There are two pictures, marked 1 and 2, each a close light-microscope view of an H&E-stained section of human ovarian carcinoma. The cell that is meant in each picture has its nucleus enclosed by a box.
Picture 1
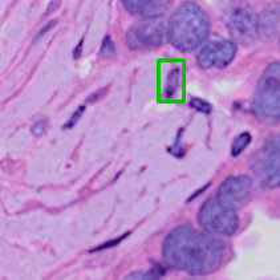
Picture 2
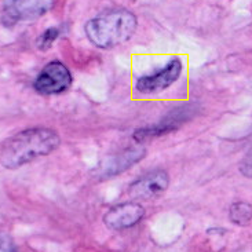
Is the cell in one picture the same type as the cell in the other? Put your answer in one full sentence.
No. Picture 1 shows a fibroblast, but picture 2 shows a “macrophage or monocyte”.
